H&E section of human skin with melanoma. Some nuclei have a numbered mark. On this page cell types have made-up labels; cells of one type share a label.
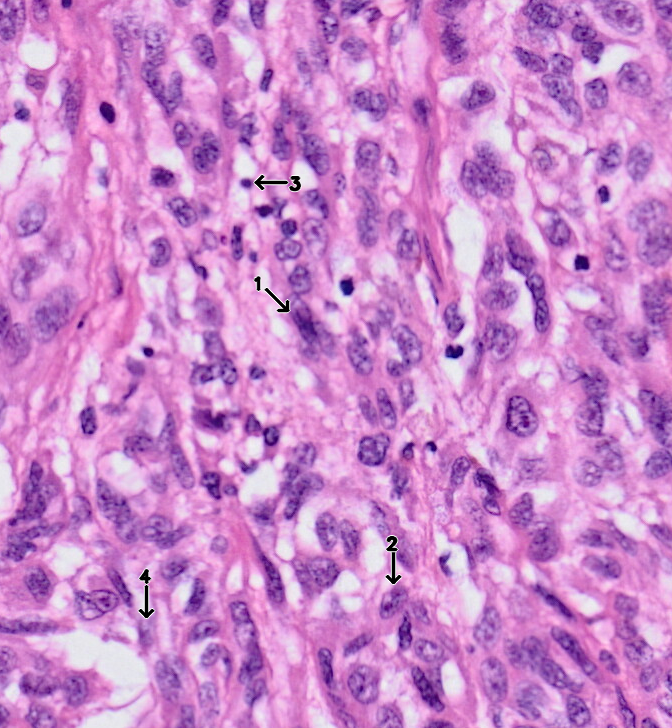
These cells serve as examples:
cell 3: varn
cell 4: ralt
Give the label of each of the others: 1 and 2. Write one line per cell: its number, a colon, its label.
1: ralt
2: ralt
